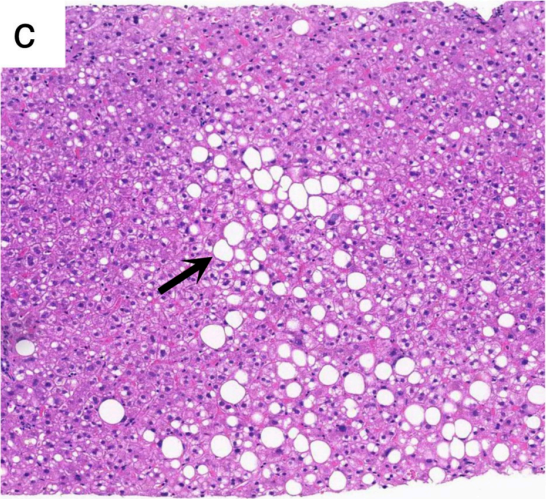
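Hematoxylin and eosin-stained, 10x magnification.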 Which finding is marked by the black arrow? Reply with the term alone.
vacuoles of macrovesicular steatosis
